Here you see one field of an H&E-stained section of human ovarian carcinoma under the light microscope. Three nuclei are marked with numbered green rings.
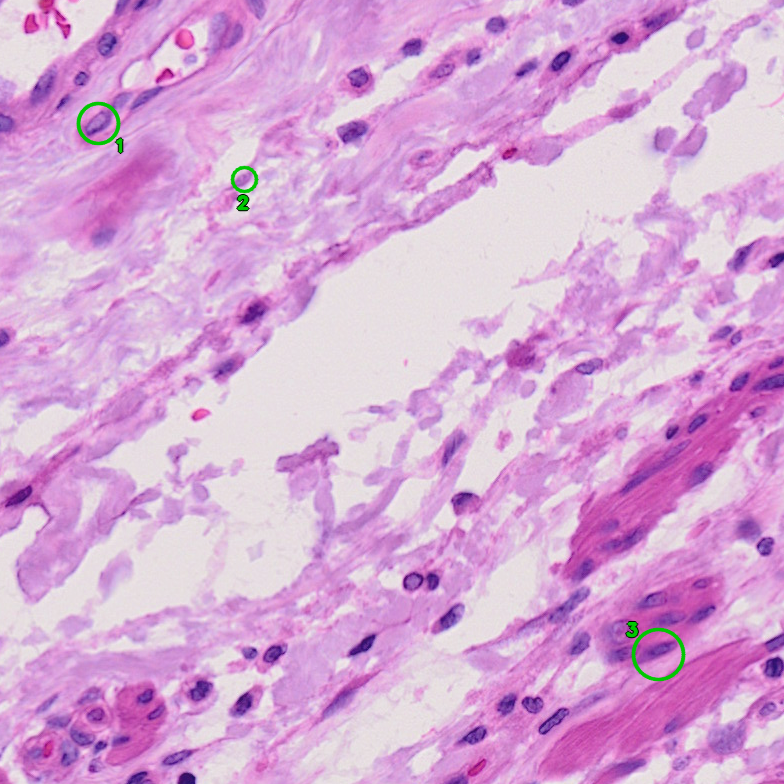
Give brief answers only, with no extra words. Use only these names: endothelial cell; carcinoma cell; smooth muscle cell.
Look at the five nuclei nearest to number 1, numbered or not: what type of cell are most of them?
endothelial cell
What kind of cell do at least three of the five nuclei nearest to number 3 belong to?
smooth muscle cell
